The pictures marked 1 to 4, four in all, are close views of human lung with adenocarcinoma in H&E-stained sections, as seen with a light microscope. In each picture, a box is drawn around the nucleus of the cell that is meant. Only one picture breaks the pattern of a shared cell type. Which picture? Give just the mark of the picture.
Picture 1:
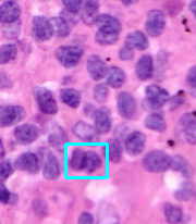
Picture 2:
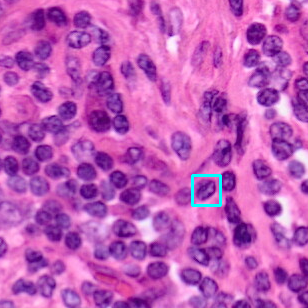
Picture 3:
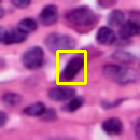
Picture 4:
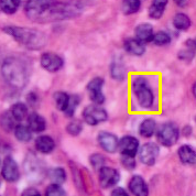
3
